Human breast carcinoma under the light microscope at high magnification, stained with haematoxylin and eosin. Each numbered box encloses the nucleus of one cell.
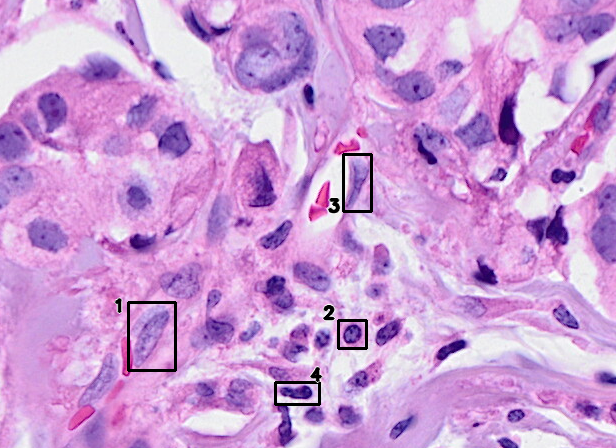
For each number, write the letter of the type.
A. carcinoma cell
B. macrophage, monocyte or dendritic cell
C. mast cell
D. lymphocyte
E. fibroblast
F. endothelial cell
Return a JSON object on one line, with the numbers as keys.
{"1": "F", "2": "C", "3": "F", "4": "D"}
